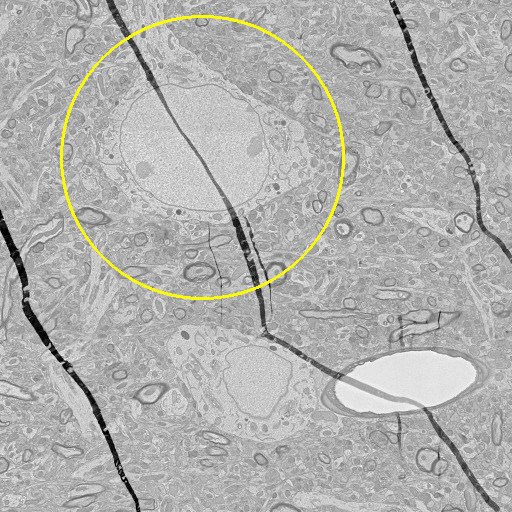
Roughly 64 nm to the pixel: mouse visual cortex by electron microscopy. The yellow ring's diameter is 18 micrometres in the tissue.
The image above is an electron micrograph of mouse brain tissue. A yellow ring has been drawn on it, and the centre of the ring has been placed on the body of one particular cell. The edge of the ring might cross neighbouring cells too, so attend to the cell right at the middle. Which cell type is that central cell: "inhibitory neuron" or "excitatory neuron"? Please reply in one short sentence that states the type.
The central cell in the ring is an excitatory neuron.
